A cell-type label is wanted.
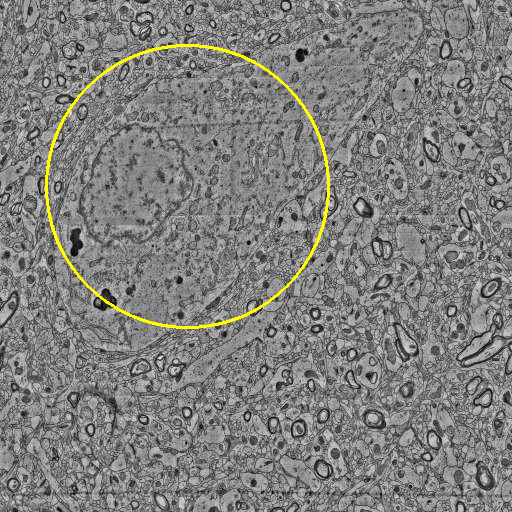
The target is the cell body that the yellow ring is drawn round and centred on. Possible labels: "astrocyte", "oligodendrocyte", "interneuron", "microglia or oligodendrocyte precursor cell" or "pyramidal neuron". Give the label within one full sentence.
Of the labels offered, the cell in the middle of the yellow ring is a pyramidal neuron.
